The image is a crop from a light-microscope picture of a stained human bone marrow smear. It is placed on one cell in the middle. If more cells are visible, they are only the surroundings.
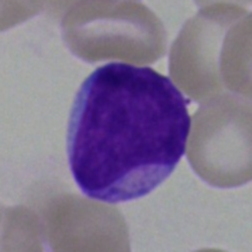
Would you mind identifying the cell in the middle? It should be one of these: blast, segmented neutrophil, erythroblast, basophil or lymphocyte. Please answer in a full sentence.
The centrally placed cell is classified as a blast.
